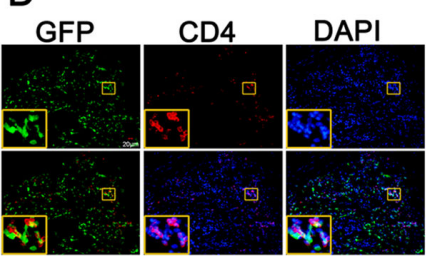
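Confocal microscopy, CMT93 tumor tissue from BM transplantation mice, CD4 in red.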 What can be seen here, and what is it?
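These are sections of a tumour in which green-fluorescent cells lie scattered throughout the tissue among many blue-stained nuclei. Red-stained cells are fewer and spread more sparsely. The enlarged insets show a small group of rounded cells in which red and green lie on or next to the same blue nuclei in the merged views.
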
